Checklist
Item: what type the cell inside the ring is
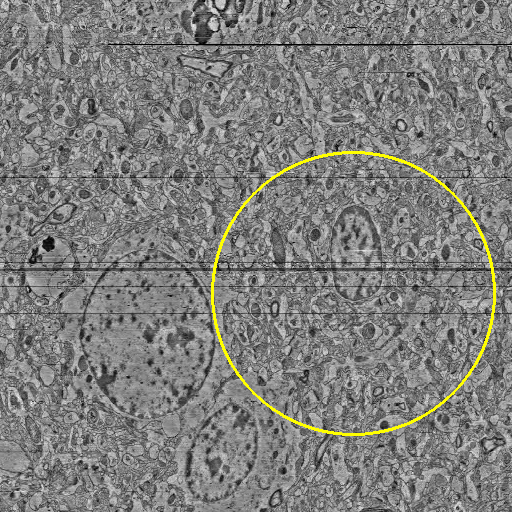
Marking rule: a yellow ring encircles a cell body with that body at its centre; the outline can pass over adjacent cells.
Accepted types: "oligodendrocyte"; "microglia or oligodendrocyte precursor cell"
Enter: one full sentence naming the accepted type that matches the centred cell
The entry is that a microglial cell or oligodendrocyte precursor cell lies at the centre of the yellow ring.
